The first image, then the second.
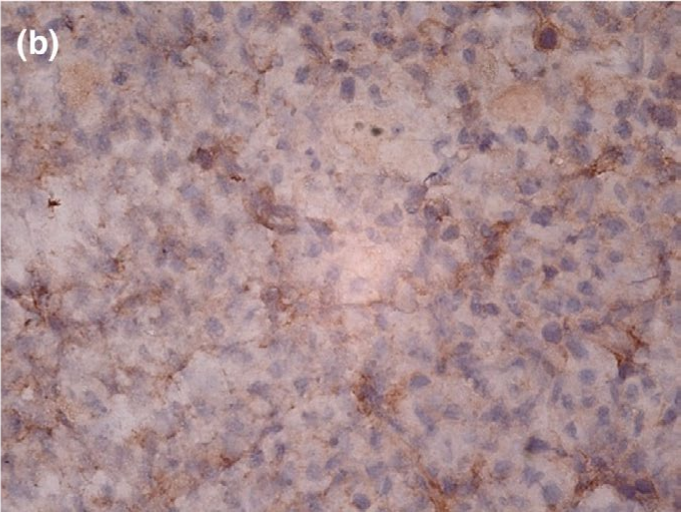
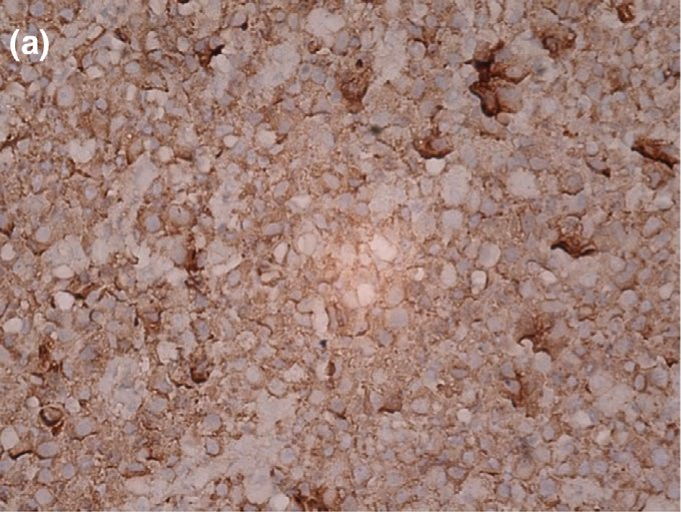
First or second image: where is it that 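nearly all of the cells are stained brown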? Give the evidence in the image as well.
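First image: mostly pale tissue with blue nuclei; brown stain only in scattered cells and strands. So: the second image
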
